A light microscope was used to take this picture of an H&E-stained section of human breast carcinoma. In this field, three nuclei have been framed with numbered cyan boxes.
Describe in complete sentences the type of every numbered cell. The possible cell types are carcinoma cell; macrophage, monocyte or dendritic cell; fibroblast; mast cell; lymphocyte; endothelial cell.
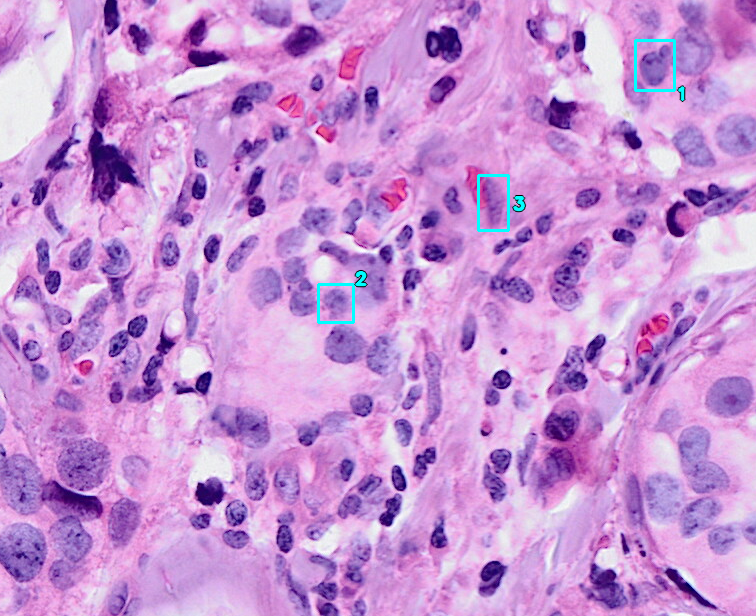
Cells 1 and 2 are carcinoma cells. Cell 3 is an endothelial cell.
